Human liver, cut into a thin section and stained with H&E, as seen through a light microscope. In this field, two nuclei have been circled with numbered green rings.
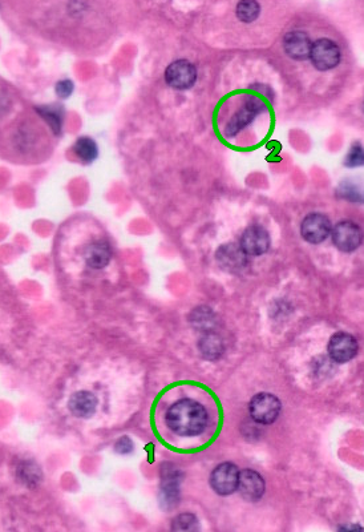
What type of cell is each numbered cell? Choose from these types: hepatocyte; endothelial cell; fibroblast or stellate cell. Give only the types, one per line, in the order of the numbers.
hepatocyte
fibroblast or stellate cell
